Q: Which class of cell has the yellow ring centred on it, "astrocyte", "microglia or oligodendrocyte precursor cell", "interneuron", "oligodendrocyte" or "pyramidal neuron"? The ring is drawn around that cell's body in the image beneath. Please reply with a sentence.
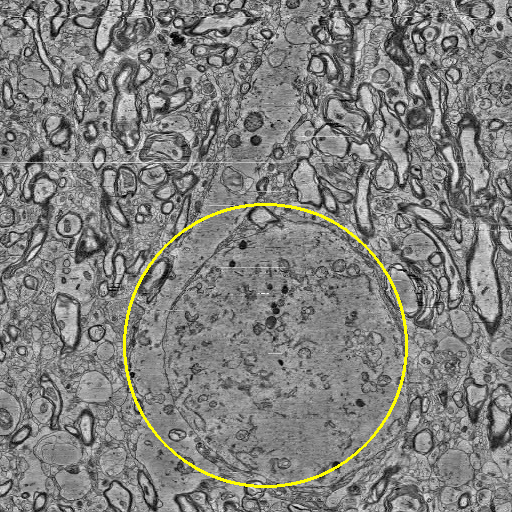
It is centred on a pyramidal neuron.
